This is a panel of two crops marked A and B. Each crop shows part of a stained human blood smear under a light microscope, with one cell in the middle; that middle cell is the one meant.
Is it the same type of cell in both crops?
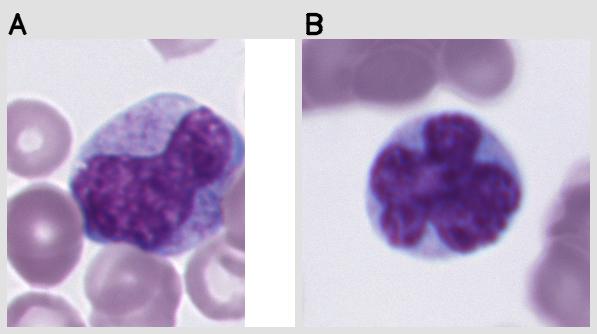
yes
